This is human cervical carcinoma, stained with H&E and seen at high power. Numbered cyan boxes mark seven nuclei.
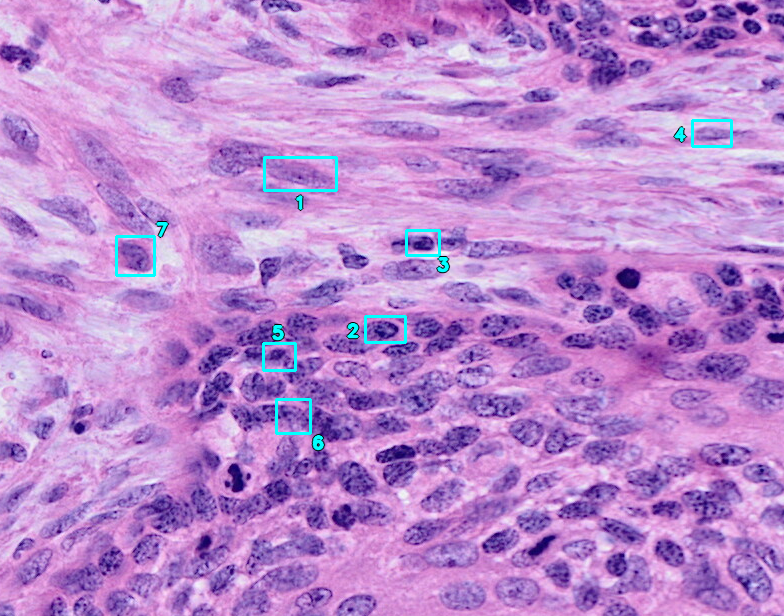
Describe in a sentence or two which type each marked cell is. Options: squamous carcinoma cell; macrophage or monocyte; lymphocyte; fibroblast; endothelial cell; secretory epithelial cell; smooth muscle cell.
Cells 1 and 4 are fibroblasts. Cells 2, 5 and 6 are squamous carcinoma cells. Cell 3 is a lymphocyte. Cell 7 is a macrophage or monocyte.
